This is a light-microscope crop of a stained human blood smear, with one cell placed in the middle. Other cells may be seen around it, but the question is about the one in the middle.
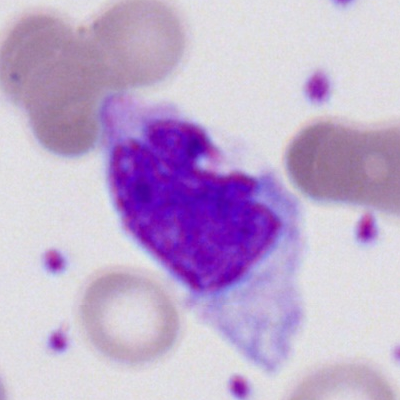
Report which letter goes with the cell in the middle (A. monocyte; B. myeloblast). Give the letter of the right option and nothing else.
A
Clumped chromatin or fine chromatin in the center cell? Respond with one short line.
Answer: the chromatin in this nucleus is coarsely clumped.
